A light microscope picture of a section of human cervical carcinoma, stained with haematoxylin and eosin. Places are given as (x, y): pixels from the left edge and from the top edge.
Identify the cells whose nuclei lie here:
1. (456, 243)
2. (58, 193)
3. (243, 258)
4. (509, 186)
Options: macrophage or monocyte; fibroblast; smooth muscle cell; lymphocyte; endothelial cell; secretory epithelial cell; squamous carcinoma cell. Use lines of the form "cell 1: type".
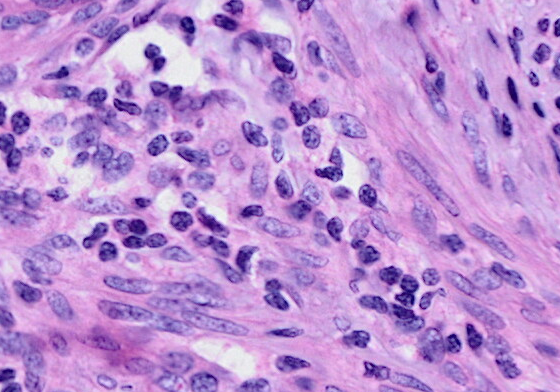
cell 1: lymphocyte
cell 2: lymphocyte
cell 3: lymphocyte
cell 4: smooth muscle cell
